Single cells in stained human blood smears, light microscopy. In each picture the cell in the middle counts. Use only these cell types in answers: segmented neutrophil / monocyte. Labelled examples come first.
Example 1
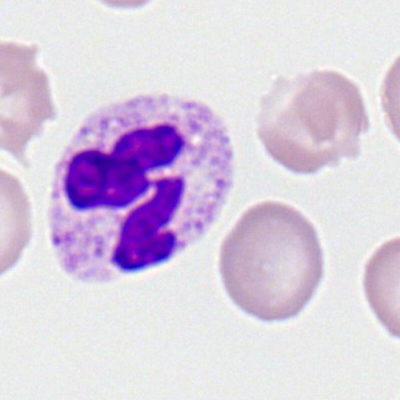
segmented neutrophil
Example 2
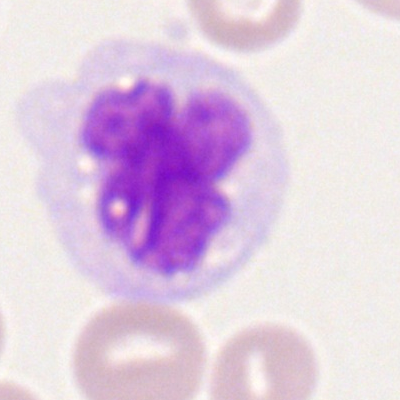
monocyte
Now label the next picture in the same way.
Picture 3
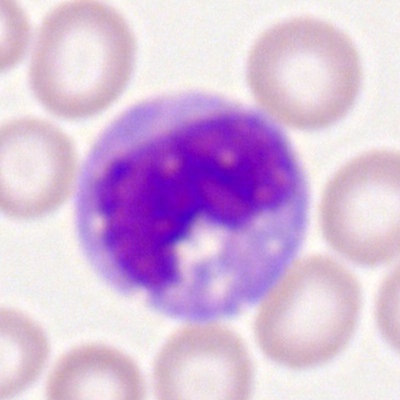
monocyte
